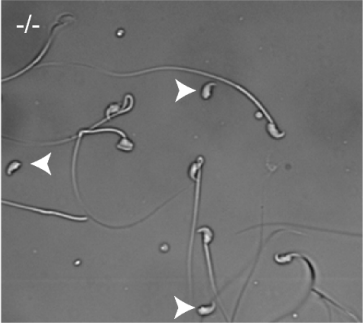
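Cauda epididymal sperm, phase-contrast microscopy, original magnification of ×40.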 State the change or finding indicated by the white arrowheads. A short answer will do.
Detached heads.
